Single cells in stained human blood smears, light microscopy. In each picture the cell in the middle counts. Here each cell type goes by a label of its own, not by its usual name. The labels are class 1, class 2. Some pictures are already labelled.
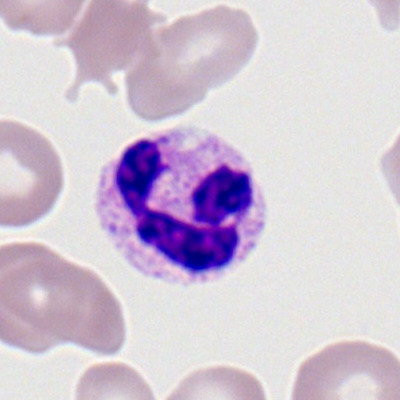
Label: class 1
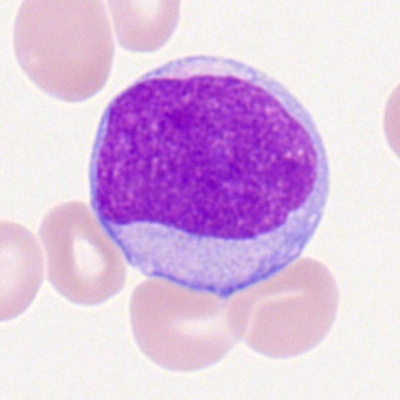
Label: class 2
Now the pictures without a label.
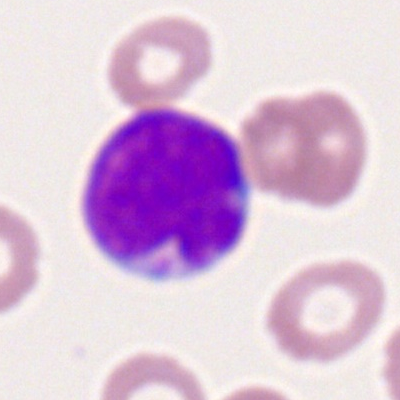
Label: class 2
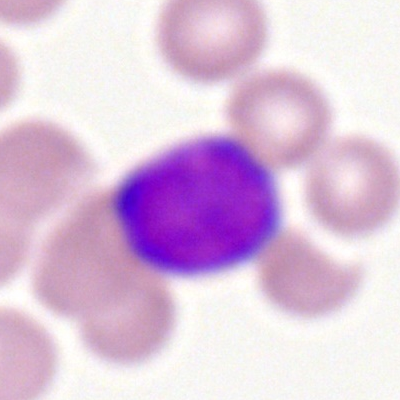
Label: class 2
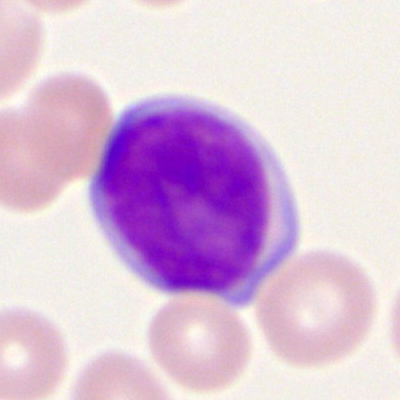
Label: class 2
